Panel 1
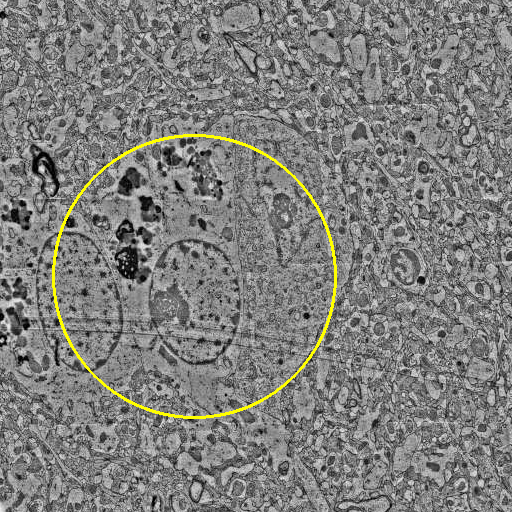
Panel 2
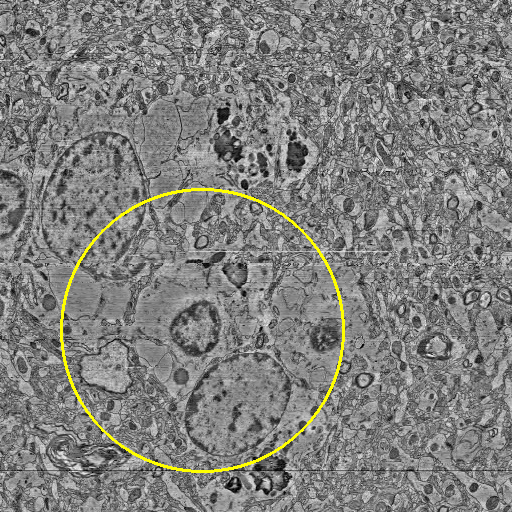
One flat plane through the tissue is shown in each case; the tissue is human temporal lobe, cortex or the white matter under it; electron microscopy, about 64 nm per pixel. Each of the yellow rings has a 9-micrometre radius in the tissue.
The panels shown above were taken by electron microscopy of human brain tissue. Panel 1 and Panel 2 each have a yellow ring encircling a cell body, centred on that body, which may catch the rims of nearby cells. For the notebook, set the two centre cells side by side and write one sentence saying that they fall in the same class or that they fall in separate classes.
The centred cells of Panel 1 and Panel 2 fall in the same class.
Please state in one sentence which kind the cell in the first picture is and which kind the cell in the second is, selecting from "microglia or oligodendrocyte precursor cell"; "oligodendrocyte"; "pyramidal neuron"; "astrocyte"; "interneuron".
Each cell at the centre of a ring is an astrocyte.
